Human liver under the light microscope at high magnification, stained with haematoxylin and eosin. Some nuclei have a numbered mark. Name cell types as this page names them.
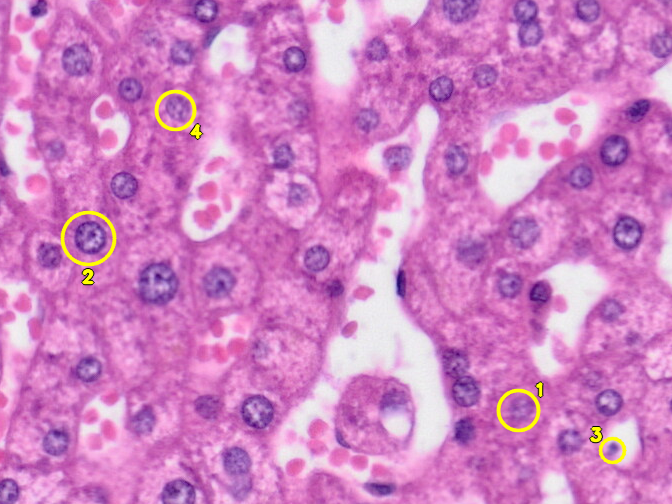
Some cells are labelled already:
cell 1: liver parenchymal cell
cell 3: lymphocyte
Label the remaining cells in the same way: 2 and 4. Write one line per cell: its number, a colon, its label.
2: liver parenchymal cell
4: liver parenchymal cell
